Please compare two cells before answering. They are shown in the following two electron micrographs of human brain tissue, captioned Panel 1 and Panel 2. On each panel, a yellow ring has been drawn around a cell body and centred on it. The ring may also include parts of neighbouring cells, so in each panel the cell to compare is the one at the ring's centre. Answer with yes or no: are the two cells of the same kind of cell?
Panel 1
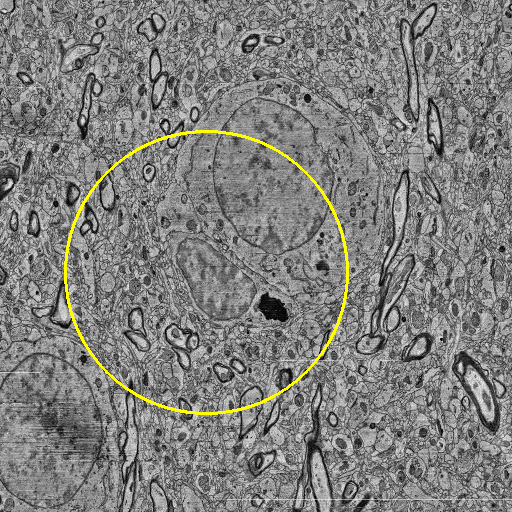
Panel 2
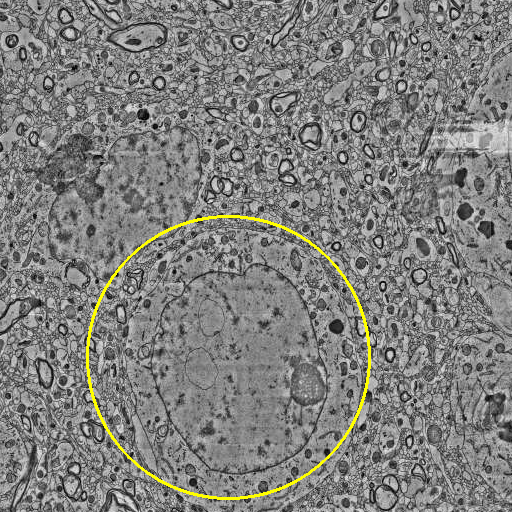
no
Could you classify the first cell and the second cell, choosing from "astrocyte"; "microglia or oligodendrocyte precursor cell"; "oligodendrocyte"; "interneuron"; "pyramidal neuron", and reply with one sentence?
The second cell is a pyramidal neuron, while the first is an oligodendrocyte.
